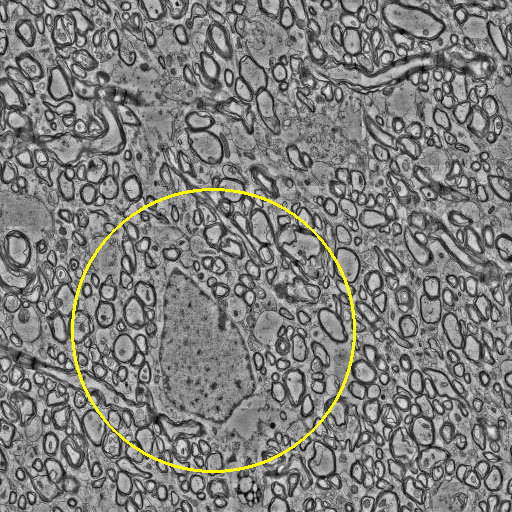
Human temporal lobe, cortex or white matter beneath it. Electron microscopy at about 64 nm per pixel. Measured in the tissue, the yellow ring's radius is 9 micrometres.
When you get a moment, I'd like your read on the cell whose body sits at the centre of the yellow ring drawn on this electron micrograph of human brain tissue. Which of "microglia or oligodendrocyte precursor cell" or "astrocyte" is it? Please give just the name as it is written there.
astrocyte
